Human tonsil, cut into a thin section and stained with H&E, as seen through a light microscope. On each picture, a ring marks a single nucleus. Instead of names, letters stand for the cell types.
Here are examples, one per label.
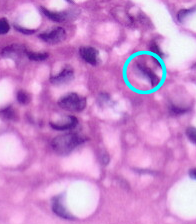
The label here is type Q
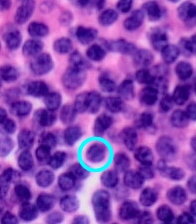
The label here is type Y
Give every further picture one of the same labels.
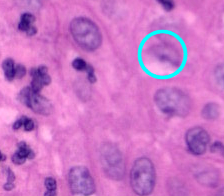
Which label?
type Q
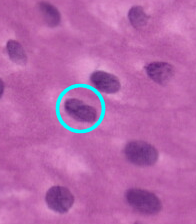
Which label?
type Q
